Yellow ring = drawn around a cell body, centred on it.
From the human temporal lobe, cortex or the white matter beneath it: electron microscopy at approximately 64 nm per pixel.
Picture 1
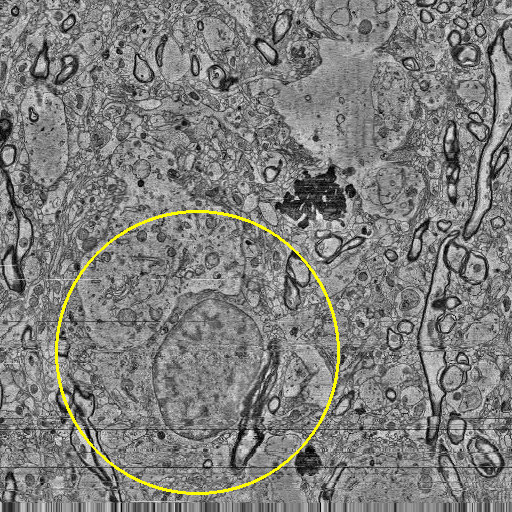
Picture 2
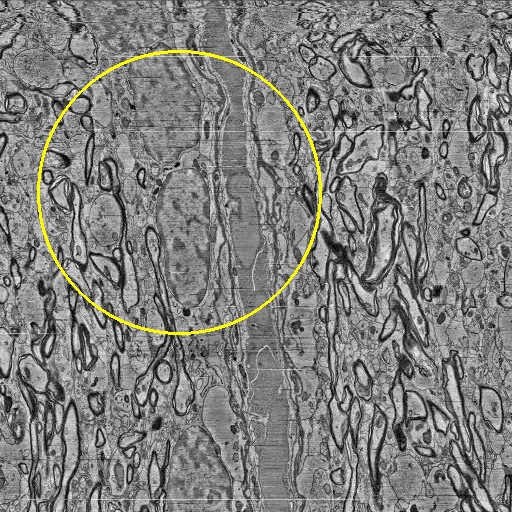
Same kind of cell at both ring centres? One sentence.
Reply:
No, they are two kinds of cell.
